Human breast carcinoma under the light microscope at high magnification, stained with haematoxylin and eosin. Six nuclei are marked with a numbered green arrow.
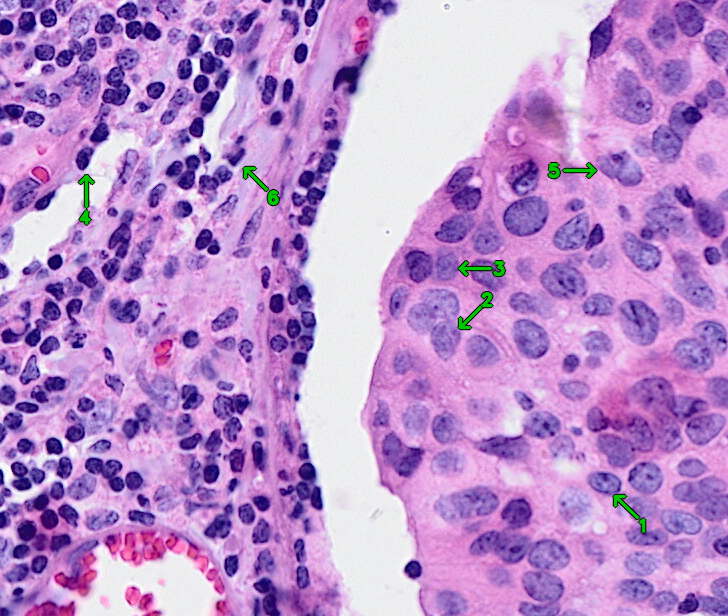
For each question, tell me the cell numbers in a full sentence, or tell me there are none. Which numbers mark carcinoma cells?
The cells that have numbers 1, 2, 3 and 5 are carcinoma cells.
